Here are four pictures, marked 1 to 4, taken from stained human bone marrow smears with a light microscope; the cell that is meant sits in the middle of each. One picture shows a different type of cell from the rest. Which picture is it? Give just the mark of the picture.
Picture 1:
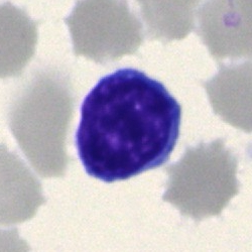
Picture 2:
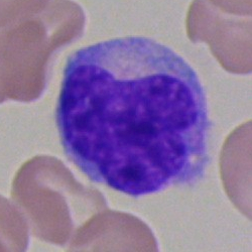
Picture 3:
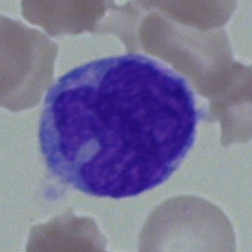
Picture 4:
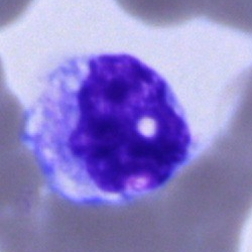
1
